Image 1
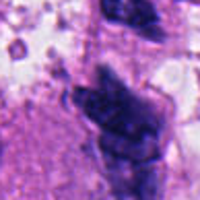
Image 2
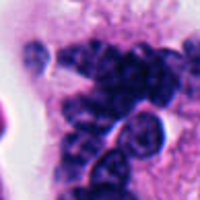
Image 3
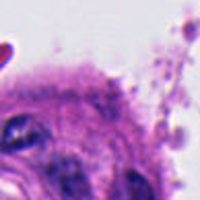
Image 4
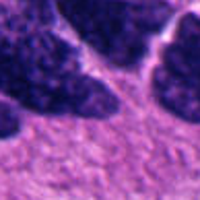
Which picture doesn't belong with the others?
Picture 3.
